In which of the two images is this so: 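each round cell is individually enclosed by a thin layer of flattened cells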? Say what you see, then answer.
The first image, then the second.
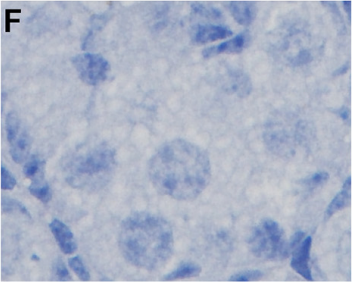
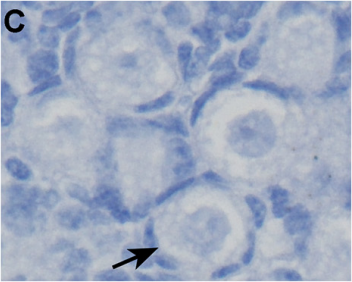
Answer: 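First image: large round cells lie packed together without flat cells between them. Second image: round cells are each rimmed by flat cells with elongated nuclei. The answer: the second image.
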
